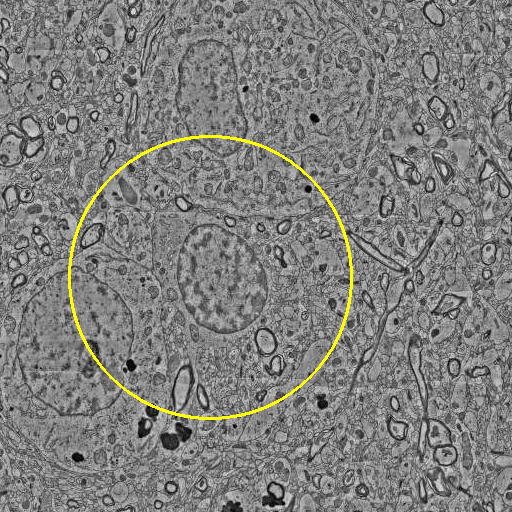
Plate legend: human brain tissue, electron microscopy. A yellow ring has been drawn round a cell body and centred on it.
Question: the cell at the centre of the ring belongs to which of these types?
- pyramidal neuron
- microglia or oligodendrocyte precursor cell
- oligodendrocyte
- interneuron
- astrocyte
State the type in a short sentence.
The cell in the middle of the ring is an oligodendrocyte.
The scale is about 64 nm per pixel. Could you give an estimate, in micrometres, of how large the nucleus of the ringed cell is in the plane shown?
The ringed cell's nucleus measures approximately 7 by 5 micrometres in this plane.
